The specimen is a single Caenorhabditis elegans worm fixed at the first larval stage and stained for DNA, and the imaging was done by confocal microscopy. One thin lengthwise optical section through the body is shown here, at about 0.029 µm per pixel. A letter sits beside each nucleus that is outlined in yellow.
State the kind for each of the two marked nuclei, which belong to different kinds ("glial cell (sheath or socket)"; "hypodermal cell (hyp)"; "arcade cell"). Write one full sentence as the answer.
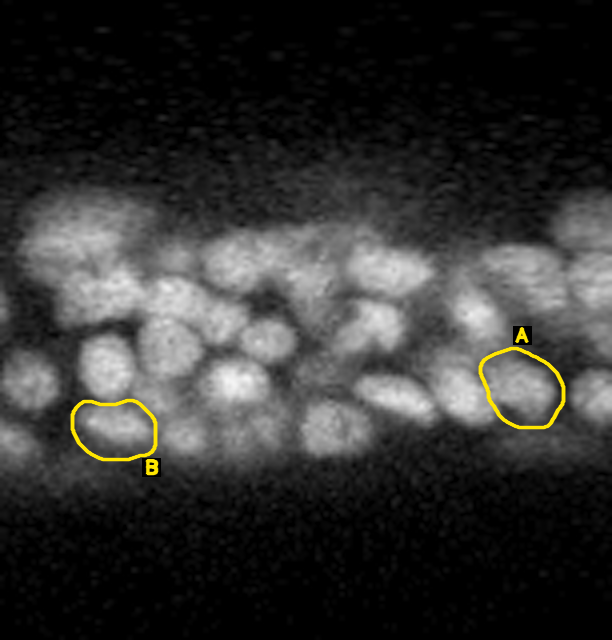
One is from a hypodermal cell (hyp), namely A, and the other, B, is from a glial cell (sheath or socket).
